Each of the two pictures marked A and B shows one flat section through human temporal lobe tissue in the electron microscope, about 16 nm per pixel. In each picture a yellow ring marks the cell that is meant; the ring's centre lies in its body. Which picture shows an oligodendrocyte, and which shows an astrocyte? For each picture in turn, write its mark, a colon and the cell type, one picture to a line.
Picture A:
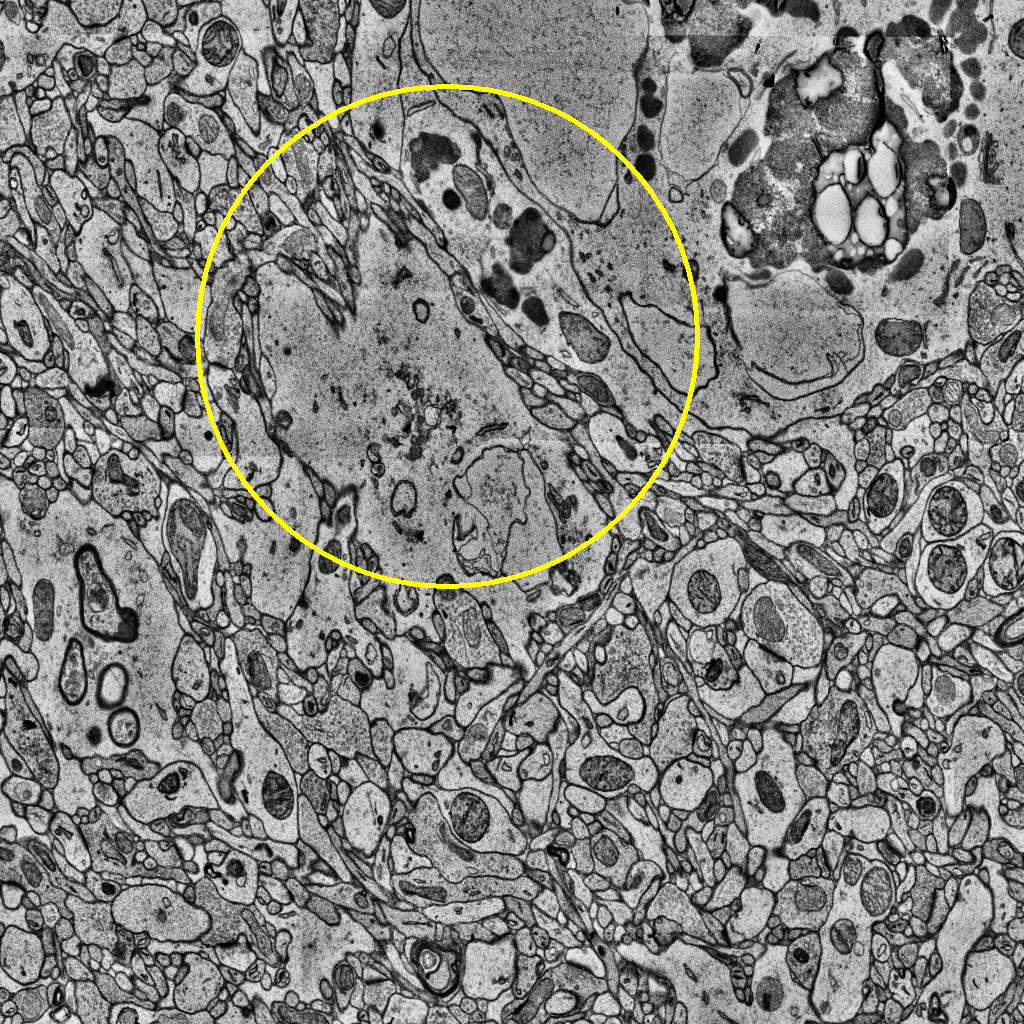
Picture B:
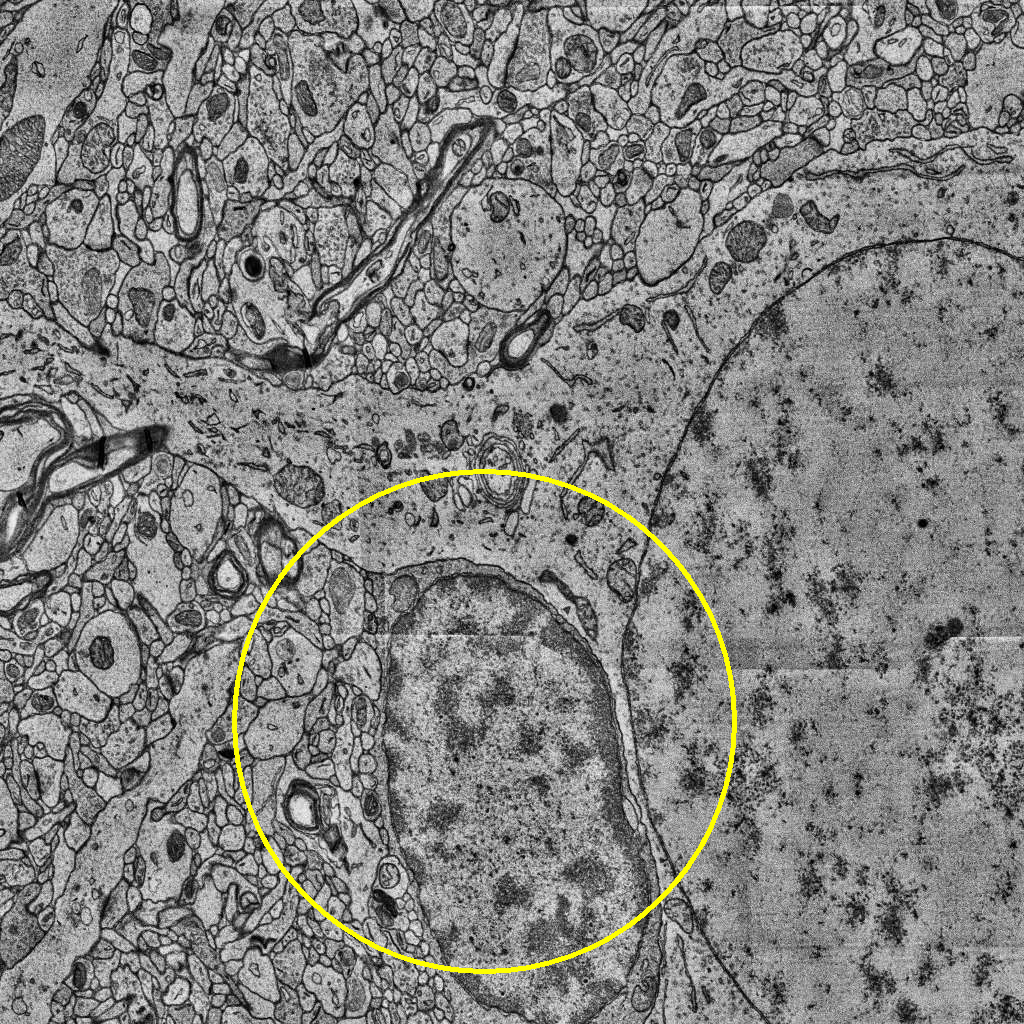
A: astrocyte
B: oligodendrocyte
